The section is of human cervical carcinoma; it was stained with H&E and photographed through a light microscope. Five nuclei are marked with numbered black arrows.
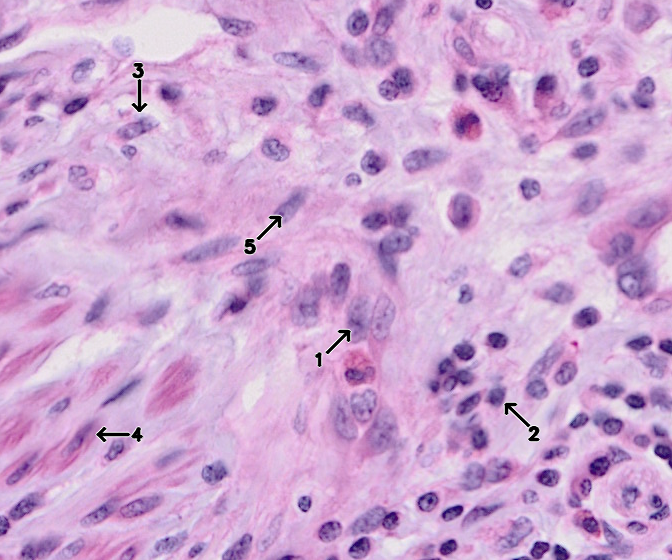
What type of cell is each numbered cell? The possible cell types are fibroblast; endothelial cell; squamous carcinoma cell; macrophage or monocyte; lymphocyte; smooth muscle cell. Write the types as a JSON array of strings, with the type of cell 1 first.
["endothelial cell", "lymphocyte", "macrophage or monocyte", "smooth muscle cell", "fibroblast"]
